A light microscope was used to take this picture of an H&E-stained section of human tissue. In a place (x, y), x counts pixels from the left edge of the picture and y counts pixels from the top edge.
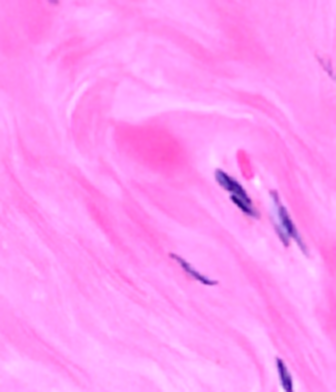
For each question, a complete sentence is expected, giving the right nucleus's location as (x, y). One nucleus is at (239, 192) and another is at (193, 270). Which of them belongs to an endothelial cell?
The nucleus at (239, 192) belongs to an endothelial cell, which distinguishes it from the other nucleus.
